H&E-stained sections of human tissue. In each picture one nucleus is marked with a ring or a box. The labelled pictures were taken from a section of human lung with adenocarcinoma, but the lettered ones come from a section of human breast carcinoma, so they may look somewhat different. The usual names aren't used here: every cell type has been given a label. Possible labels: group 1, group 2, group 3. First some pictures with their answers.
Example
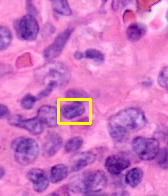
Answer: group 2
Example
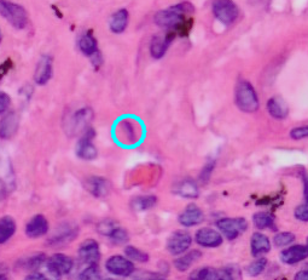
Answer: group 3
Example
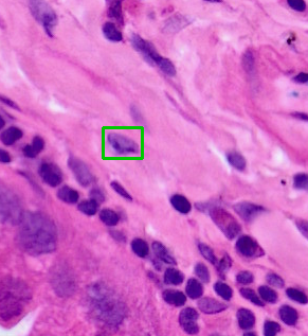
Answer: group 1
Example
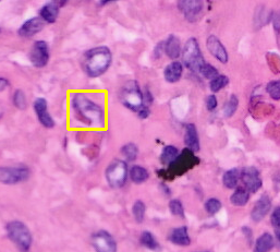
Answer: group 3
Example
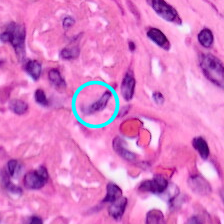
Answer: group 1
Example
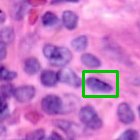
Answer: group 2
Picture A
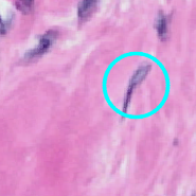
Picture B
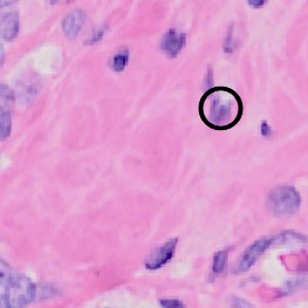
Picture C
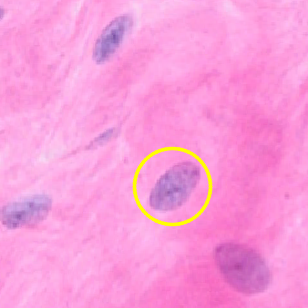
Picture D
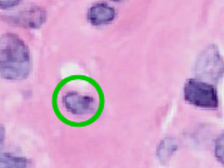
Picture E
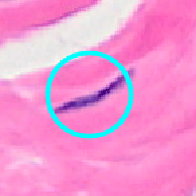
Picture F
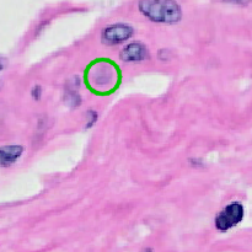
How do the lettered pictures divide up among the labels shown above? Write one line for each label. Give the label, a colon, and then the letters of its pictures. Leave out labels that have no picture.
group 1: A, C, E
group 3: B, D, F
